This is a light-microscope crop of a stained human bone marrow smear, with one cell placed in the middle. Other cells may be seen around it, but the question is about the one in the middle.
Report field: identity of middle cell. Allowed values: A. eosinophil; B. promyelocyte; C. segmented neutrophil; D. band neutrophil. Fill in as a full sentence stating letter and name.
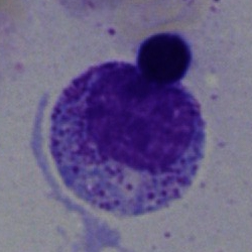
With the cell in the middle being a promyelocyte, option B is the correct choice.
